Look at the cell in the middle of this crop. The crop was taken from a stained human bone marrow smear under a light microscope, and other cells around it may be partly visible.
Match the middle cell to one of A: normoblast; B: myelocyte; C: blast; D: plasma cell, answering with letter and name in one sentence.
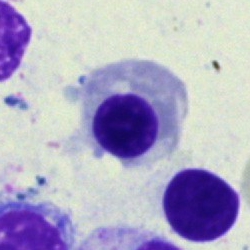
Of the options given, A is correct, the central cell being a normoblast.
